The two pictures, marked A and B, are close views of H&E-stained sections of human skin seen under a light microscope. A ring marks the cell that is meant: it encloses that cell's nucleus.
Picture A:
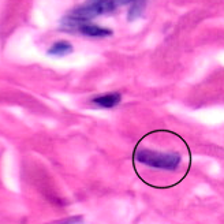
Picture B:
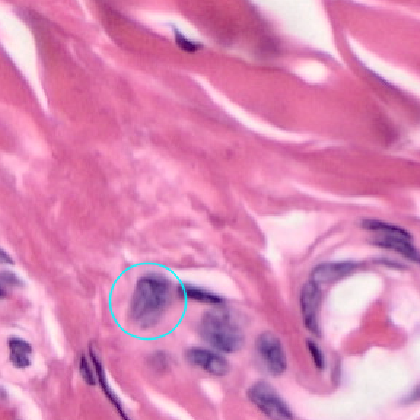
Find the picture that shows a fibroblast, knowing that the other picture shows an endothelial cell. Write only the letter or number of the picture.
A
